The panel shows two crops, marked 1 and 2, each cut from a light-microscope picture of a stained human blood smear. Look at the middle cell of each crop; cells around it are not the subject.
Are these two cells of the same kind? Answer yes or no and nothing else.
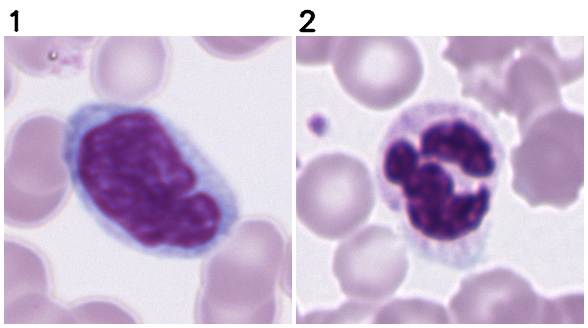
no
